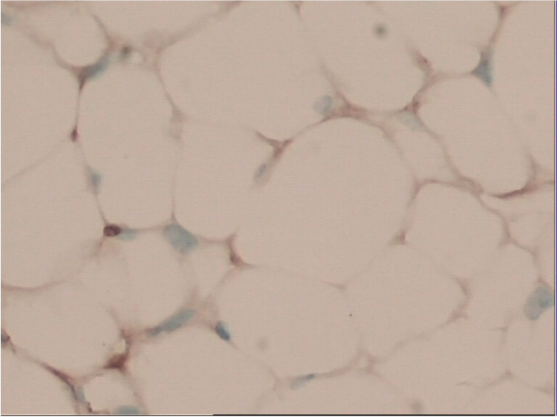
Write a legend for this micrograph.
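This section of adipose tissue consists of closely packed adipocytes, each a large, rounded to polygonal cell whose interior is an empty, unstained space. Every adipocyte is bounded by a thin rim of cytoplasm, and neighbouring rims meet to form a fine network. Small, flattened blue nuclei lie at the cell edges, often where several cells meet. Faint reddish-brown staining follows the cell rims and gathers in the small interstitial spaces between cells. The cells vary in size, with a few clearly larger ones among smaller neighbours.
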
